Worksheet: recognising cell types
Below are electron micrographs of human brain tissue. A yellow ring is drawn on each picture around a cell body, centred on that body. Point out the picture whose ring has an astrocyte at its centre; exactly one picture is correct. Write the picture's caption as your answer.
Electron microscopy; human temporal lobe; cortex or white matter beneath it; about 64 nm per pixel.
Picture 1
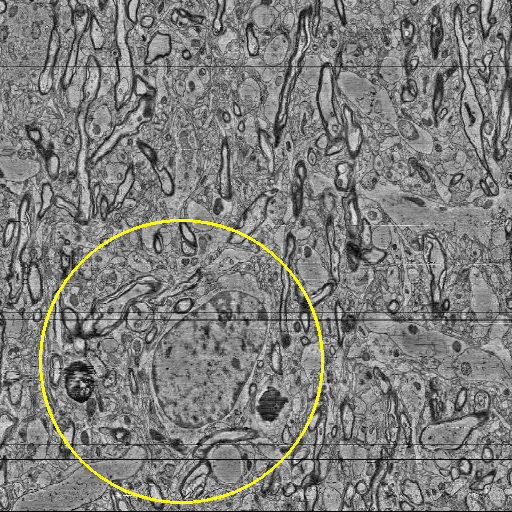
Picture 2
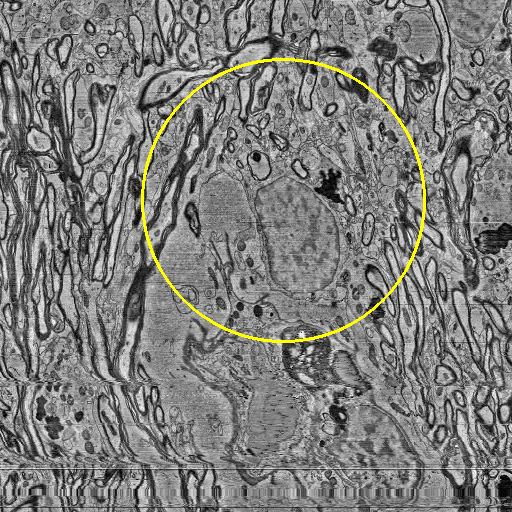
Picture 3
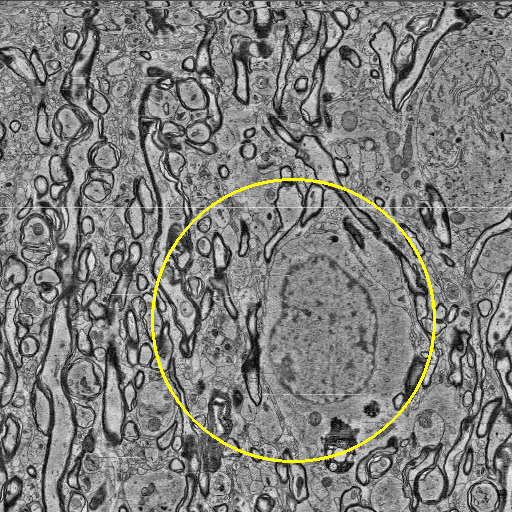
Picture 3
